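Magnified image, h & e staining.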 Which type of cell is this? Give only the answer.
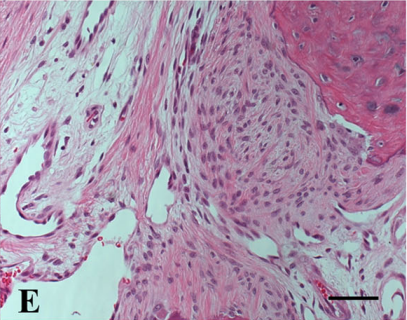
Fibroblasts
